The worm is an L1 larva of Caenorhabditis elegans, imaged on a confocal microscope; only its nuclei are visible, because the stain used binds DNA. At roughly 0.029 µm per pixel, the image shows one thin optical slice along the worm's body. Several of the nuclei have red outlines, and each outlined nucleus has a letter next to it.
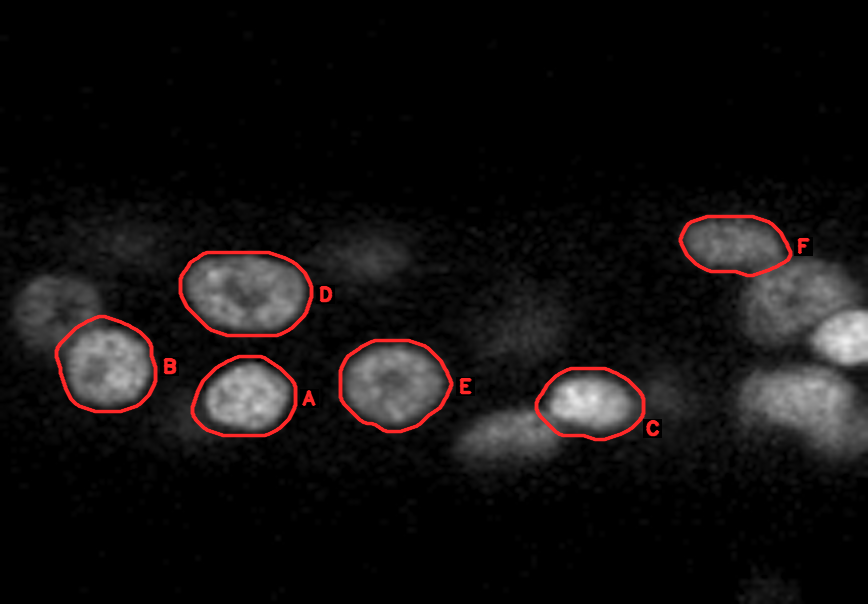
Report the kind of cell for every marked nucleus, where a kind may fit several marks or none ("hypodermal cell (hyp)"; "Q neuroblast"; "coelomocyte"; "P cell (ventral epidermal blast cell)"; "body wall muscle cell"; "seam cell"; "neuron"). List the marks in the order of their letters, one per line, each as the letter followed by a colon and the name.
A: P cell (ventral epidermal blast cell)
B: Q neuroblast
C: neuron
D: hypodermal cell (hyp)
E: seam cell
F: body wall muscle cell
